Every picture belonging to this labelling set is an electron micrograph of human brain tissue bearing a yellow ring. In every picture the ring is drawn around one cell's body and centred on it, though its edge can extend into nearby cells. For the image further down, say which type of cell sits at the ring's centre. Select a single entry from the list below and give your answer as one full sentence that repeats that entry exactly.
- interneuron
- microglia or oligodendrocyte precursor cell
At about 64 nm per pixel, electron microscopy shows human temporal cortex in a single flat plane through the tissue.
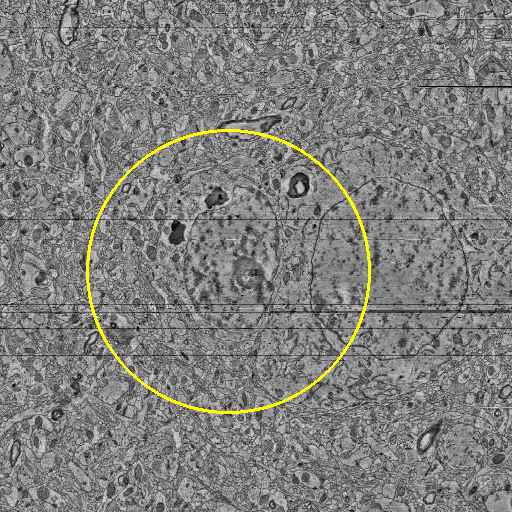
In the picture, an interneuron is the cell at the centre of the yellow ring.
